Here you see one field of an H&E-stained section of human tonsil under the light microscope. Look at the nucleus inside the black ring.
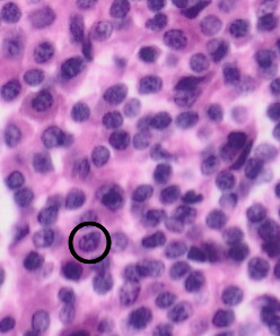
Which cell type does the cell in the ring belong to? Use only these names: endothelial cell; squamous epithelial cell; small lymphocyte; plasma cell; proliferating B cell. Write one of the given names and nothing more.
plasma cell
